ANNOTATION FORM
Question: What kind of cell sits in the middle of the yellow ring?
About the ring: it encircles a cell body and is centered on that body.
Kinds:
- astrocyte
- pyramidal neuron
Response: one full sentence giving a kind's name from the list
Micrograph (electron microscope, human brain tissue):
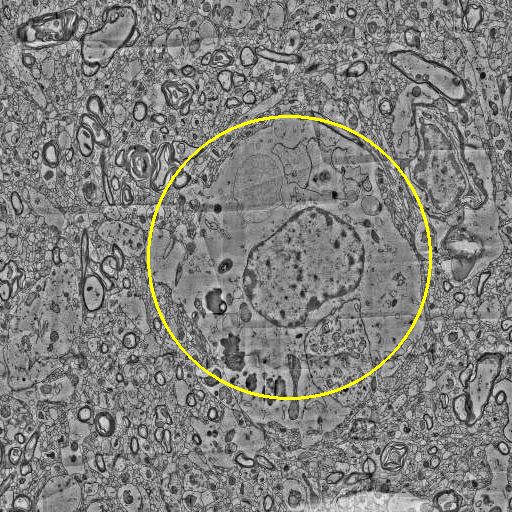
The kind of cell found at the center of the yellow ring in the micrograph is an astrocyte.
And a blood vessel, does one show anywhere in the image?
Yes.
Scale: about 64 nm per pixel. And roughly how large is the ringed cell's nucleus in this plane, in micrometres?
In this plane, roughly 8 by 7 micrometres.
